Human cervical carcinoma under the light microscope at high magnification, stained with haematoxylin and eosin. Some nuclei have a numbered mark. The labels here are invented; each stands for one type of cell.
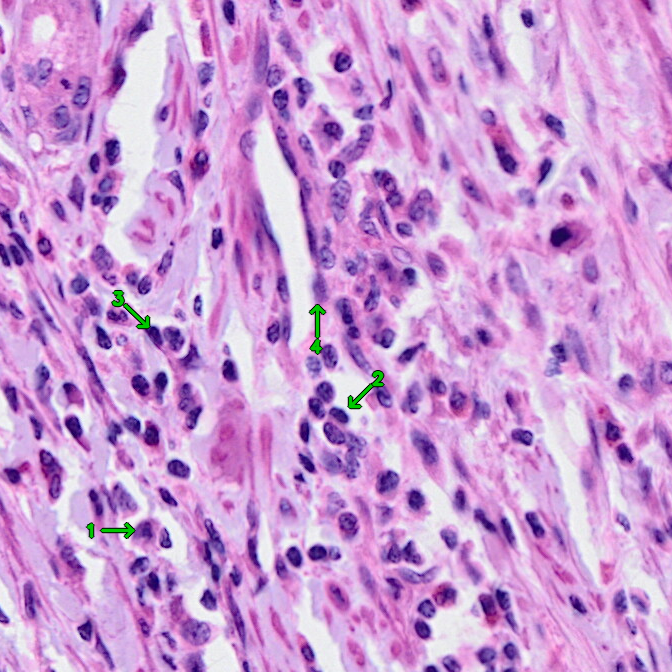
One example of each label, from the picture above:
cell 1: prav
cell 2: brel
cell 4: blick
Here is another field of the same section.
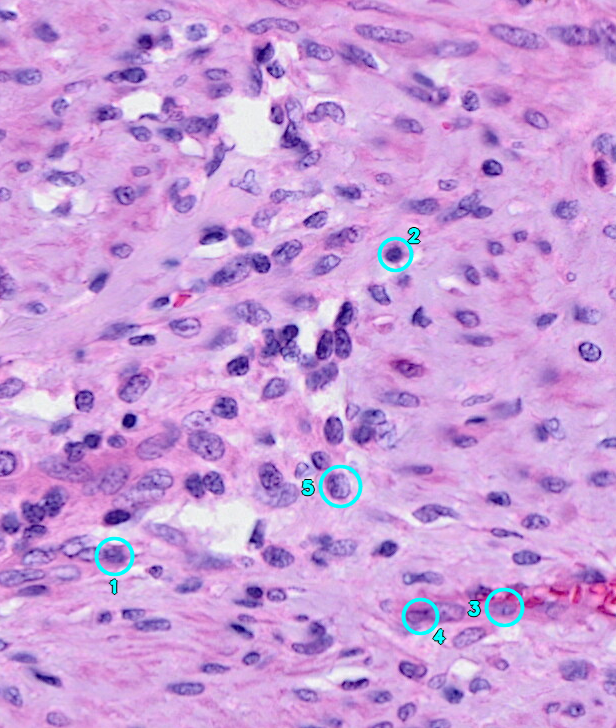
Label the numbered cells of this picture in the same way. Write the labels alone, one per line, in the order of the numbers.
blick
brel
blick
blick
prav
